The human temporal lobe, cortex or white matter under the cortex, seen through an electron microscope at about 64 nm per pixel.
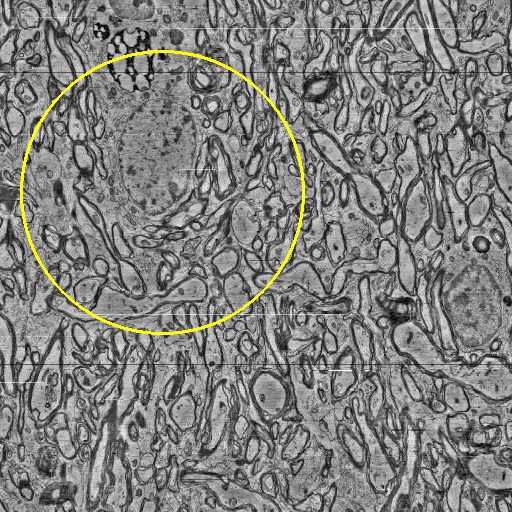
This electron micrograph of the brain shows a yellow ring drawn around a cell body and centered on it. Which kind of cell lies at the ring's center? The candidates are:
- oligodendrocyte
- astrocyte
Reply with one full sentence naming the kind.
The cell lying at the ring's center in this micrograph is an astrocyte.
